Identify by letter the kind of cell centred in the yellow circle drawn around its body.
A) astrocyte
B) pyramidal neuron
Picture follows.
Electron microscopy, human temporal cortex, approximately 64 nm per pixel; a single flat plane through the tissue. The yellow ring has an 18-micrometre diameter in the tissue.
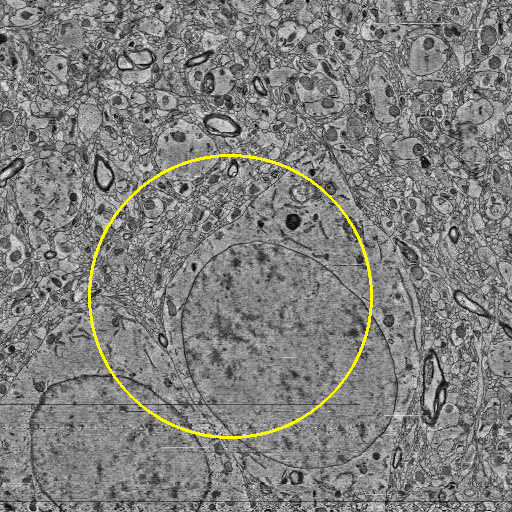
B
